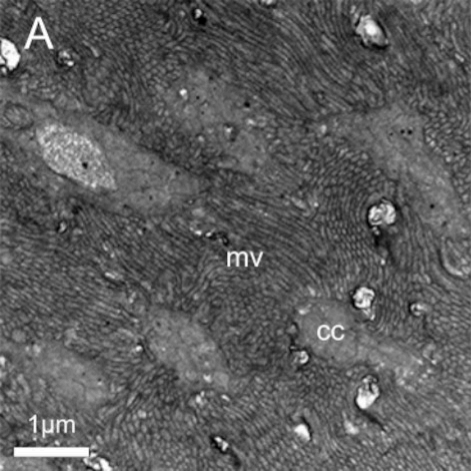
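This electron micrograph shows photoreceptors cut across, each with a smooth cytoplasmic central core embedded among densely packed microvilli. The cores appear as elongated or oval, fairly homogeneous grey areas scattered across the field. Between them, the microvilli form a fine, regular pattern of thin membrane tubes, seen partly in cross section as small rings and partly lengthwise as parallel lines. The microvilli of neighbouring cells run in different directions, producing swirls and bands of texture. A few bright irregular particles are scattered over the section.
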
